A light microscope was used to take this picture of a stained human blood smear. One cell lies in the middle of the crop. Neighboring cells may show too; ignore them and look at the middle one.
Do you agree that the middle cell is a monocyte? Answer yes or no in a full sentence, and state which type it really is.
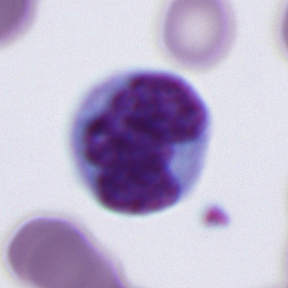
Yes, the cell of interest in the centre is a monocyte.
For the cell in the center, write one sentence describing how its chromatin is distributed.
What stands out is chromatin that is coarsely clumped.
